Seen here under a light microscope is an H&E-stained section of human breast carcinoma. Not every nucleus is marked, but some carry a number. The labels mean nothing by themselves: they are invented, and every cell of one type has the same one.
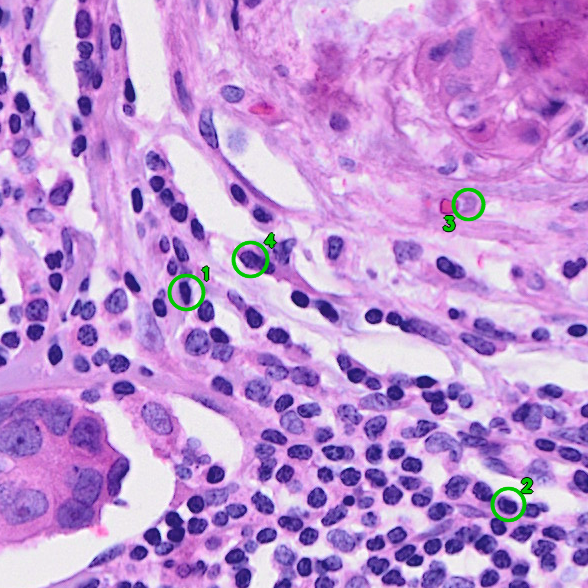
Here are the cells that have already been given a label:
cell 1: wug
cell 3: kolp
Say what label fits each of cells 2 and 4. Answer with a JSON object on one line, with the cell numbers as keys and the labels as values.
{"2": "wug", "4": "wug"}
